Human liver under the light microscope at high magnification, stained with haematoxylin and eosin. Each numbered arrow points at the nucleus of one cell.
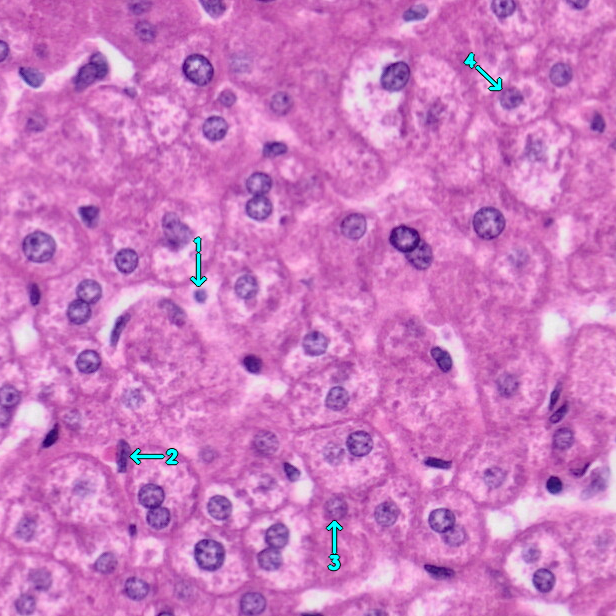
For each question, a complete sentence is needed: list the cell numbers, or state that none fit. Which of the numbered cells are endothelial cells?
Just one of the numbered cells is an endothelial cell, namely number 2.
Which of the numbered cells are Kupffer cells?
The count of Kupffer cells among the numbered cells is zero.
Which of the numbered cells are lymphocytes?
Only number 1 of the marked cells is a lymphocyte.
